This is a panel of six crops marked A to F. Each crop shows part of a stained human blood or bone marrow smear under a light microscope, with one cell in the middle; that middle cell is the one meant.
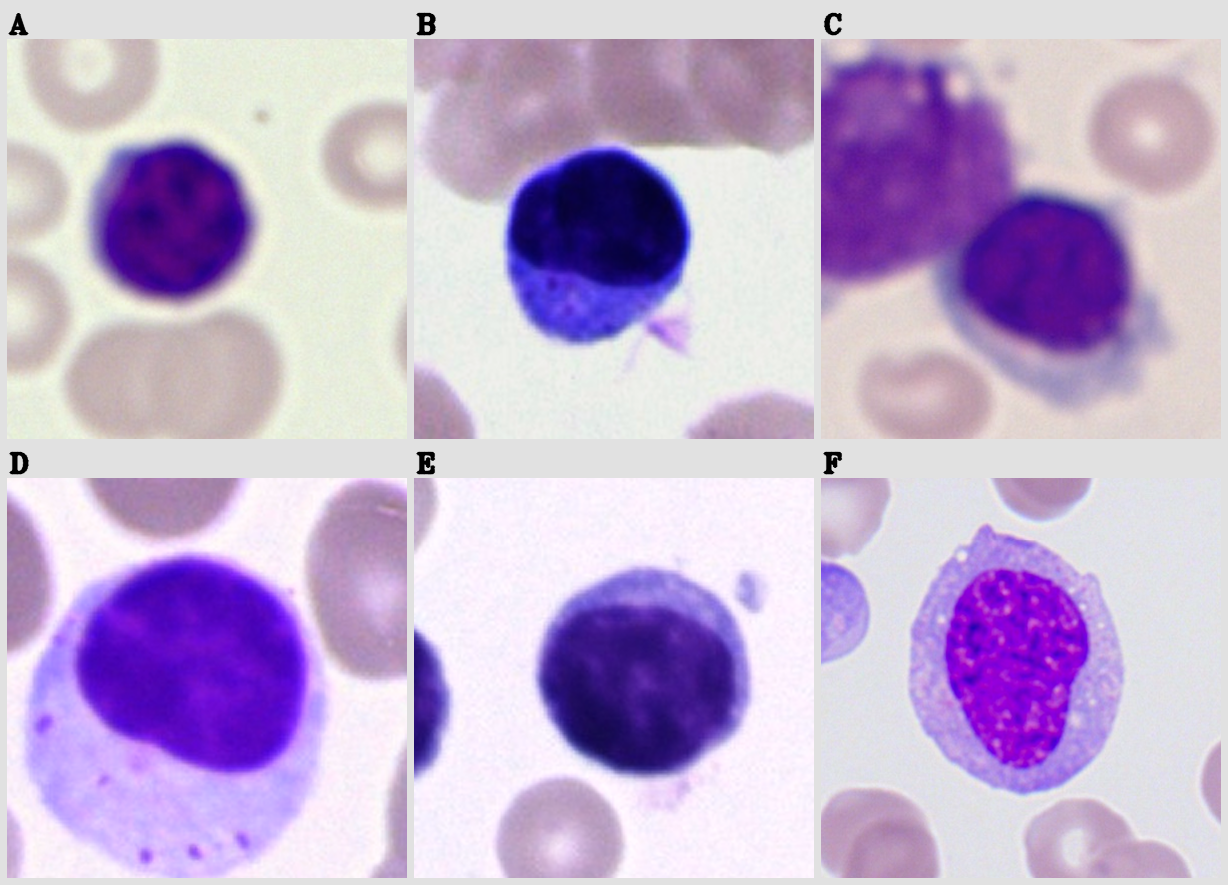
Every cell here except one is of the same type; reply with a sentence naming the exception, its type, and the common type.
While crop F shows a monocyte, the other crops all show lymphocytes.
